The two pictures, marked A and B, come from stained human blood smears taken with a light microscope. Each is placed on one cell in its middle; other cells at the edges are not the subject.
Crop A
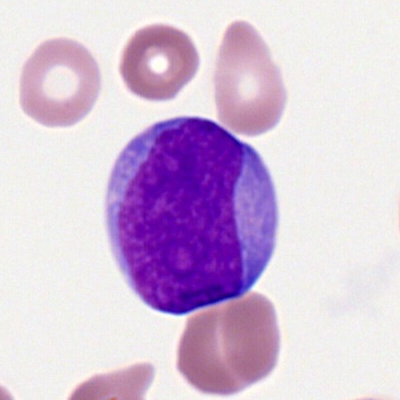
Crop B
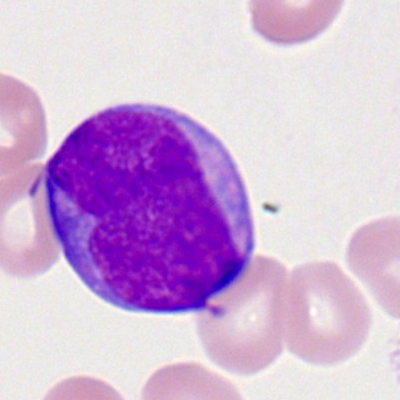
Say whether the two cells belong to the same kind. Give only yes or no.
yes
